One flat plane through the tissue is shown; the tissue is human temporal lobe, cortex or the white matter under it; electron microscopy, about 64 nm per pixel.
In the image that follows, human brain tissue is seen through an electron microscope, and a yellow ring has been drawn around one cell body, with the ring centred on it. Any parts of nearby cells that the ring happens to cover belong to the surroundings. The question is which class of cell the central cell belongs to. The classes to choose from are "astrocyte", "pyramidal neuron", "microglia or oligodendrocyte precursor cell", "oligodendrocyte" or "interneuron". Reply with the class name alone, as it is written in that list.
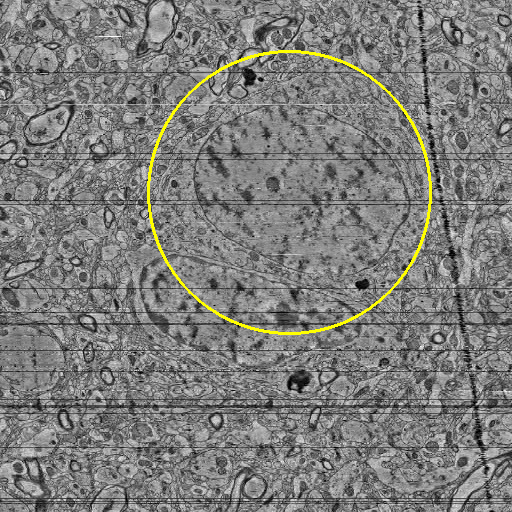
pyramidal neuron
